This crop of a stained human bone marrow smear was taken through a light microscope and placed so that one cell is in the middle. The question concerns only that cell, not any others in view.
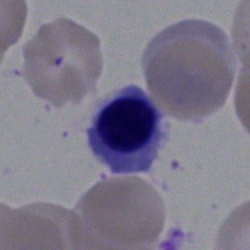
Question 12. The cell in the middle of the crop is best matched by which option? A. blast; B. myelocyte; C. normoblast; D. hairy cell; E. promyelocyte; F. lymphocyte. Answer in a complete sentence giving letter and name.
Of the options given, C is correct, the central cell being a normoblast.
